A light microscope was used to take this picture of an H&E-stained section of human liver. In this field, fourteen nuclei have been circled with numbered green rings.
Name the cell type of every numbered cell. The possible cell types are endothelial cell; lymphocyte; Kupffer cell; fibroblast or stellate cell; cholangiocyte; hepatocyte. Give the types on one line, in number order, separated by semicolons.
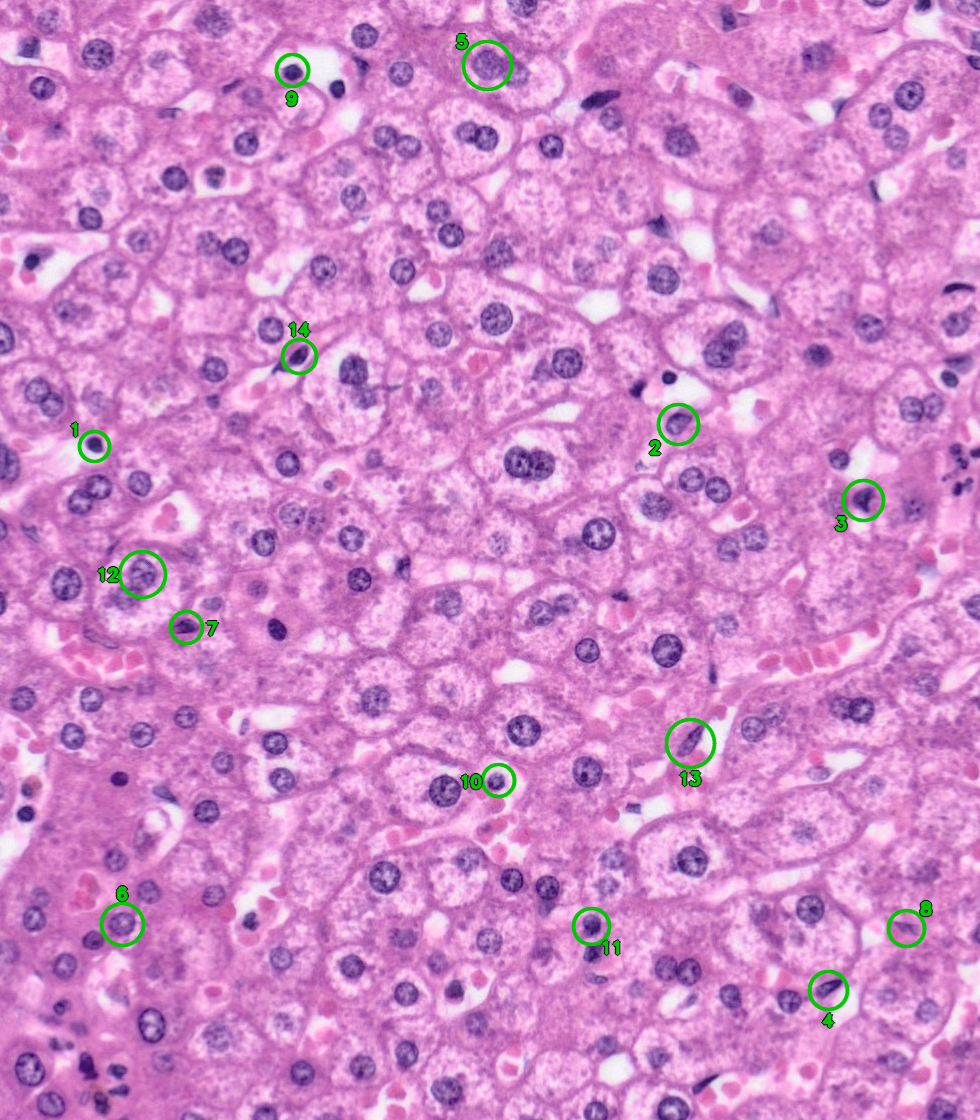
lymphocyte; Kupffer cell; fibroblast or stellate cell; fibroblast or stellate cell; hepatocyte; hepatocyte; fibroblast or stellate cell; endothelial cell; lymphocyte; lymphocyte; fibroblast or stellate cell; hepatocyte; Kupffer cell; lymphocyte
